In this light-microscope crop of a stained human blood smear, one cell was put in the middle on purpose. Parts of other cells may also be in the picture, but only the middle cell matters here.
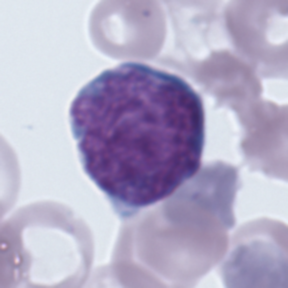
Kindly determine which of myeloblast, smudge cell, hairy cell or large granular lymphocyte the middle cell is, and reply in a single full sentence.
On this slide crop, the central cell is a myeloblast.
